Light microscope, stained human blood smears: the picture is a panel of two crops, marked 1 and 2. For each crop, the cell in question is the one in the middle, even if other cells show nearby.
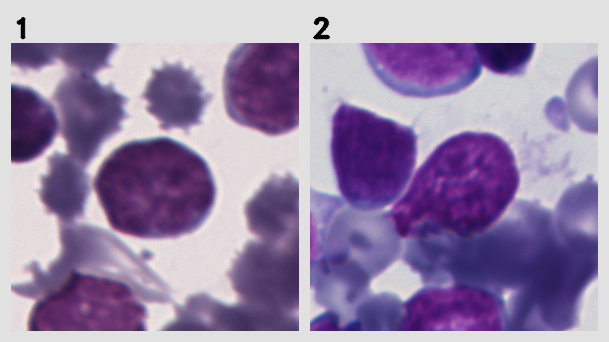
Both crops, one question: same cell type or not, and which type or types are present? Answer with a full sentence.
No, crop 1 displays a myeloblast and crop 2 displays a smudge cell.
